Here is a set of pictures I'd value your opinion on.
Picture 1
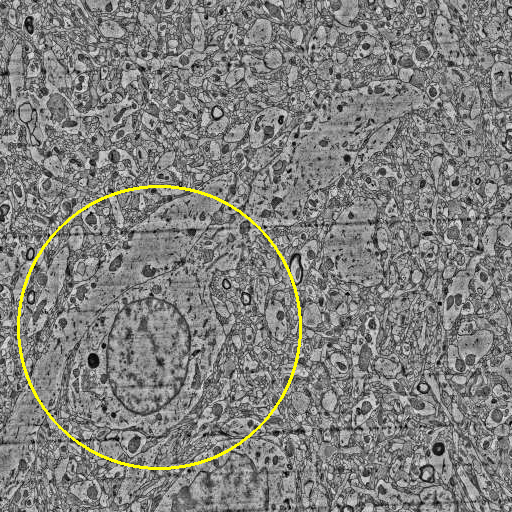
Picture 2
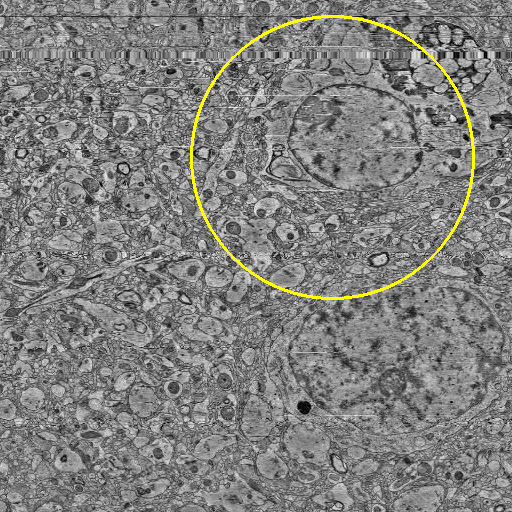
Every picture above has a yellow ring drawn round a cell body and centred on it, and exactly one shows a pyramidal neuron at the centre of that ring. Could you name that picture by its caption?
Picture 1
